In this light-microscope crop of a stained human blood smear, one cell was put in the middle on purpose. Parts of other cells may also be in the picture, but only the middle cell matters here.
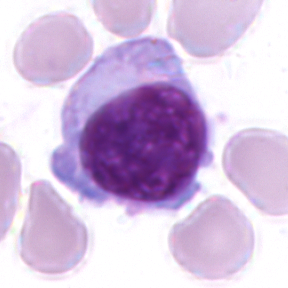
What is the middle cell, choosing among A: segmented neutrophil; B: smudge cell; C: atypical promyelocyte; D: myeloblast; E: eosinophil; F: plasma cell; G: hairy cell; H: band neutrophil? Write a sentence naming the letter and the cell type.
Occupying the middle of the crop is a plasma cell, hence option F is correct.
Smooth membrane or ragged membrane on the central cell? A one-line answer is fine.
The perimeter of the cell is irregular, with ragged sections or outward projections.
